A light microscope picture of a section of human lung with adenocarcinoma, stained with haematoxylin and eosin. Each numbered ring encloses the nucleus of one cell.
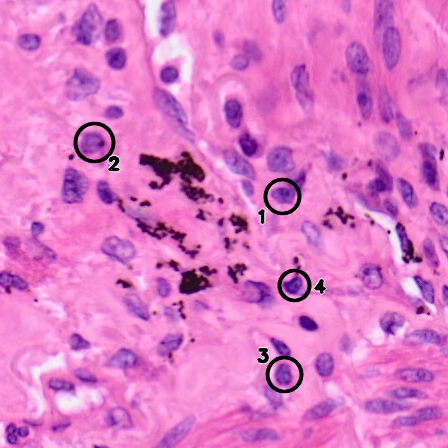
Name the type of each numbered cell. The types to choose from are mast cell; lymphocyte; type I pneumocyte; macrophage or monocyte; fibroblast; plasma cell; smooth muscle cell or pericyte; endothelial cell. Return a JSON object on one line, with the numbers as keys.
{"1": "lymphocyte", "2": "plasma cell", "3": "mast cell", "4": "lymphocyte"}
